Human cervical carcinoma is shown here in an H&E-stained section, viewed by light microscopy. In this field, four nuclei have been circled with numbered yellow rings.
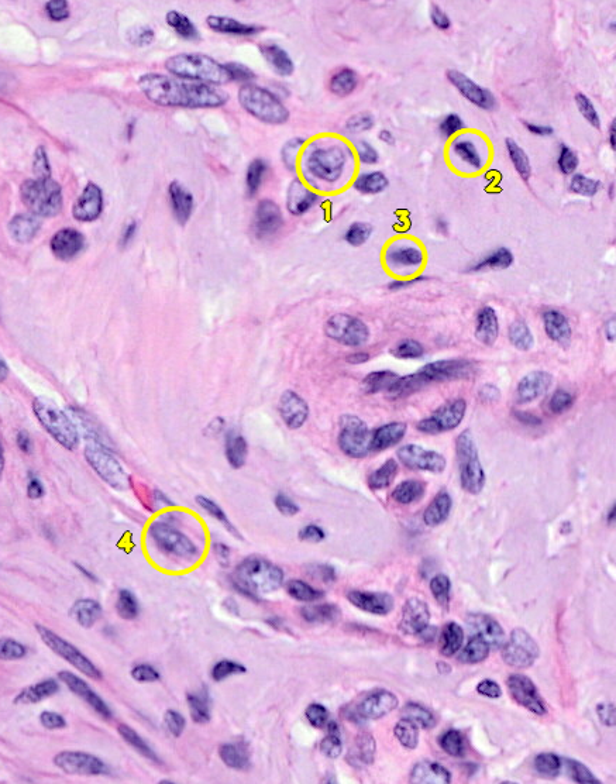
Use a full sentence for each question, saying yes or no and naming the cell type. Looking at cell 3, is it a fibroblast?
Yes, the cell shown as number 3 is a fibroblast.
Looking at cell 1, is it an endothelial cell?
Yes, the cell bearing the number 1 is an endothelial cell.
